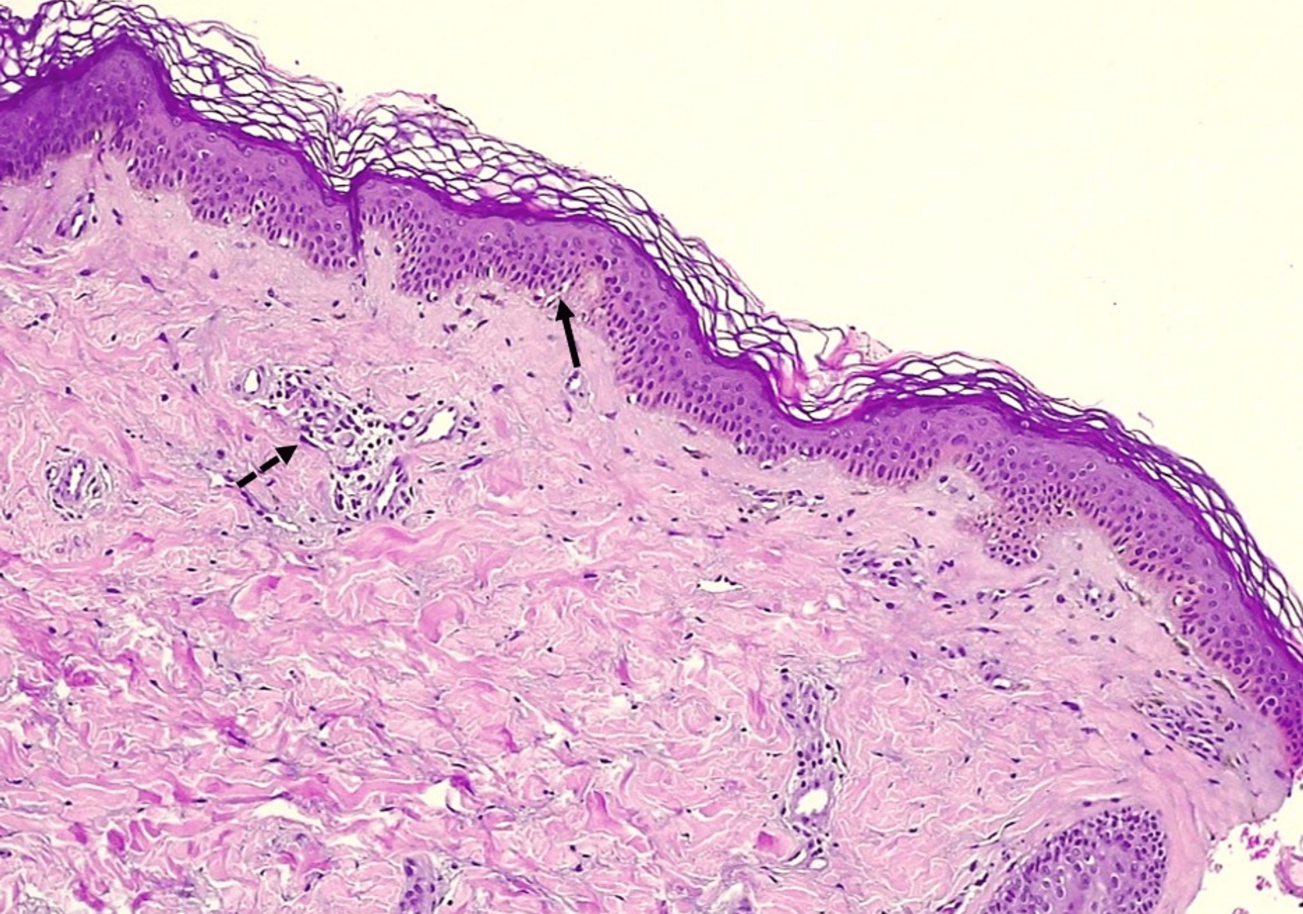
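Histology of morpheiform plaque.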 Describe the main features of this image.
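This is a section of skin showing the epidermis above and the dermis below. The stratum corneum has a loose basket-weave pattern, and the epidermis is fairly thin with flattened rete ridges. At one point, small clear vacuoles lie among the cells of the basal layer. The upper dermis just beneath the epidermis is pale, and the deeper dermis is filled with dense pink collagen bundles. In the upper dermis, small round dark nuclei of lymphocytes gather around small blood vessels.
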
